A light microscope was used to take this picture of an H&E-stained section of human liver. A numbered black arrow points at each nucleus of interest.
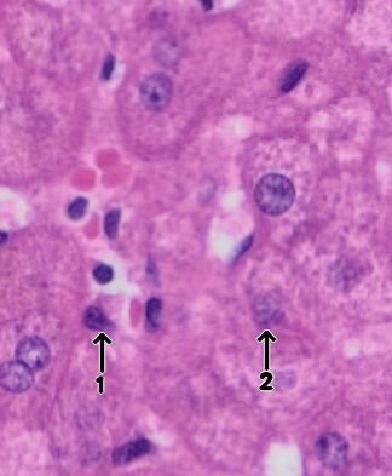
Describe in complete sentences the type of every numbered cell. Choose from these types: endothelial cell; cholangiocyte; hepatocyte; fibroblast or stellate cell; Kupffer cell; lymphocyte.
Cell 1 is a Kupffer cell and cell 2 is a hepatocyte.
